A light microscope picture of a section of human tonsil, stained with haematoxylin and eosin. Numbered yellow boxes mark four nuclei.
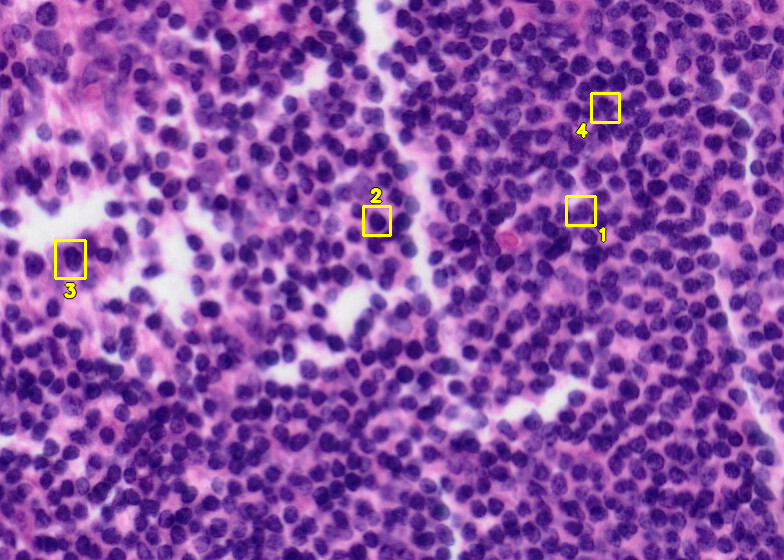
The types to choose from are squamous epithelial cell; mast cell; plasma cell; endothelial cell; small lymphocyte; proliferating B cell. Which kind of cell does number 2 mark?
small lymphocyte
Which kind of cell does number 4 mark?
small lymphocyte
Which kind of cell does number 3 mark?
proliferating B cell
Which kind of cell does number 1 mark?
small lymphocyte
